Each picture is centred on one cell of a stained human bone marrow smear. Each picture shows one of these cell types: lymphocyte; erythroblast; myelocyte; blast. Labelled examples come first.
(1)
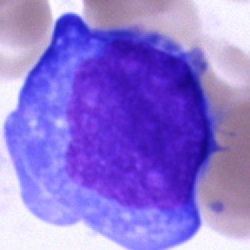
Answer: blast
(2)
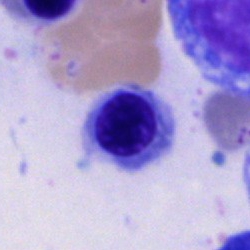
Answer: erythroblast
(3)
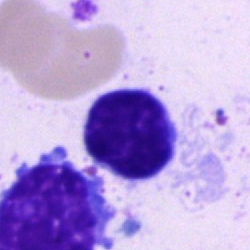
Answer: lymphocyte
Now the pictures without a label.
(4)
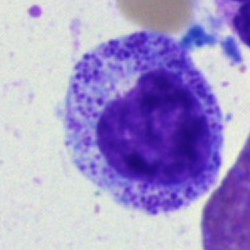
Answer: myelocyte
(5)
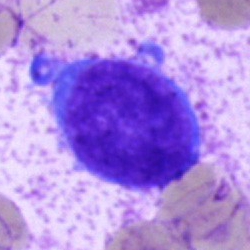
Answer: blast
